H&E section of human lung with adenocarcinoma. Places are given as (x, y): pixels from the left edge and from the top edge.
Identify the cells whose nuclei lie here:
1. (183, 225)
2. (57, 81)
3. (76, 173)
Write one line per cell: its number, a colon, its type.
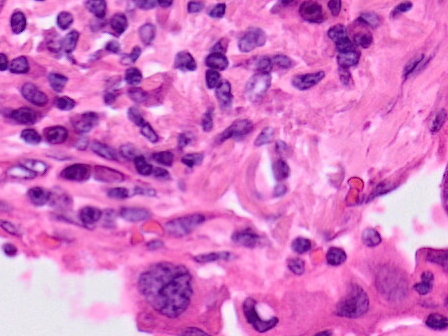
1: endothelial cell
2: lymphocyte
3: plasma cell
